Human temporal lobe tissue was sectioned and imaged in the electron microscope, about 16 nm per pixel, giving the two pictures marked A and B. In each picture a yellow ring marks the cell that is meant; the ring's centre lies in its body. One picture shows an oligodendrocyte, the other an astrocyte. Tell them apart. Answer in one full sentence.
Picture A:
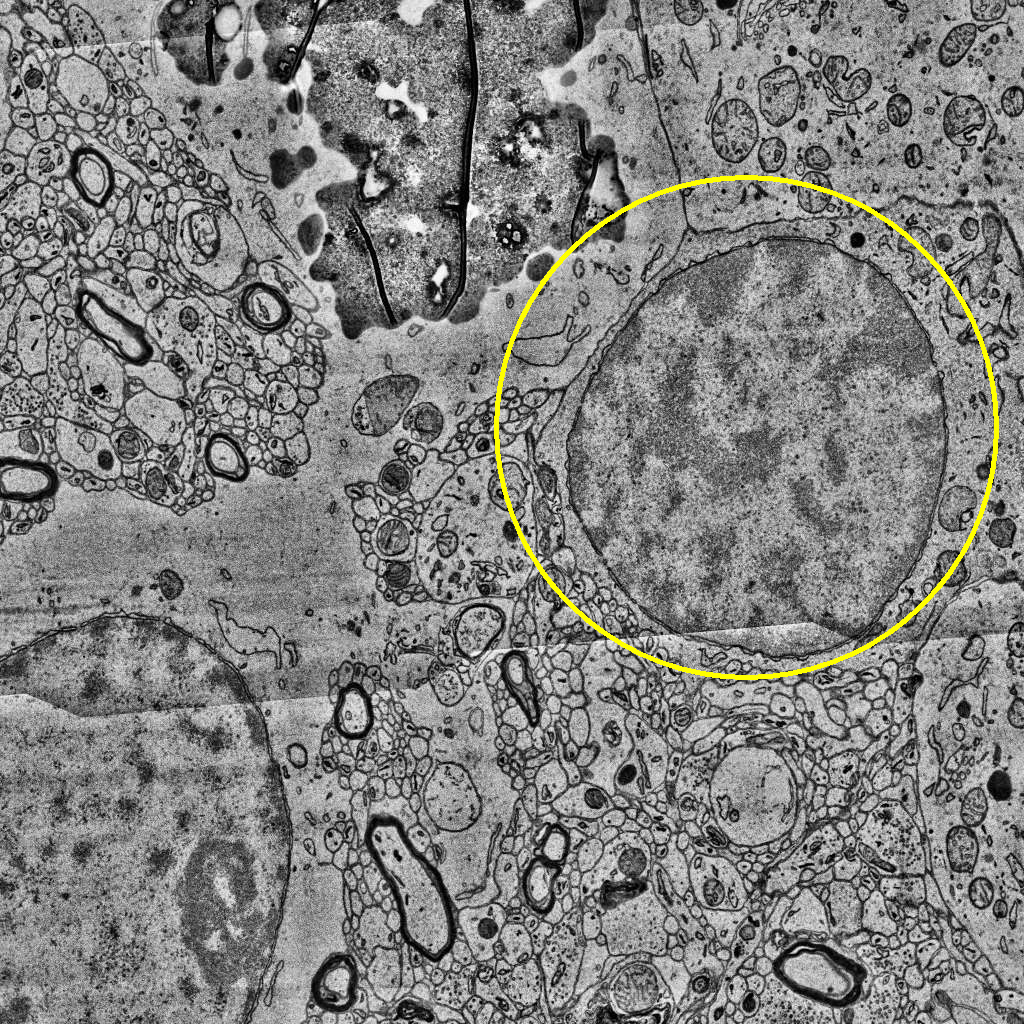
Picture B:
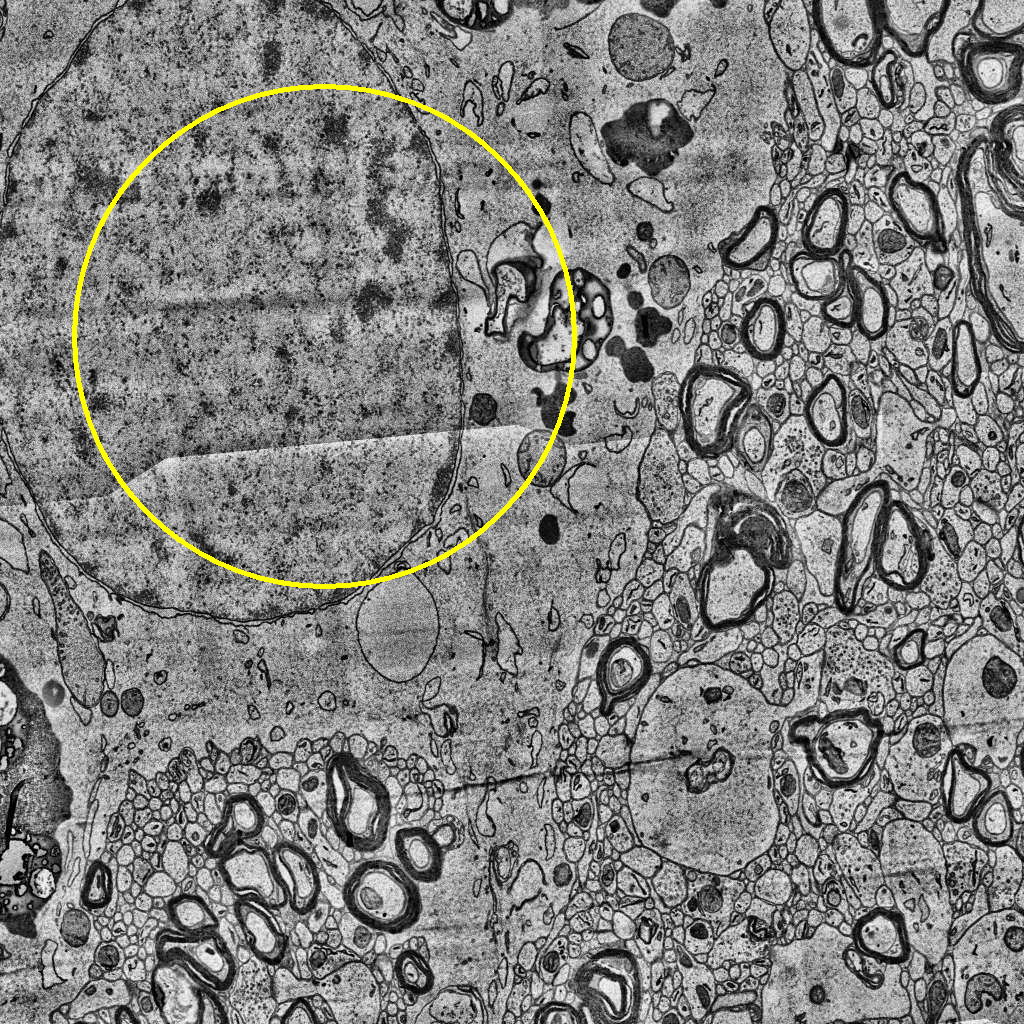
Picture B shows an astrocyte, while picture A shows an oligodendrocyte.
